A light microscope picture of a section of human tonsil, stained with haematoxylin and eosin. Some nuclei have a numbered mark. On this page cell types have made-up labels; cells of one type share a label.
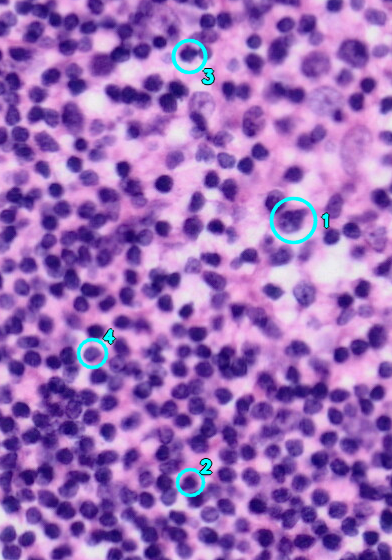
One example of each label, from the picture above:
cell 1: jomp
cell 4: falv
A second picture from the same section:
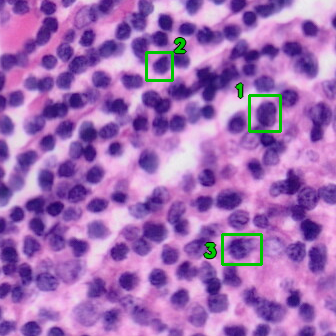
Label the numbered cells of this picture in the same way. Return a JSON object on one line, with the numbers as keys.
{"1": "jomp", "2": "falv", "3": "jomp"}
